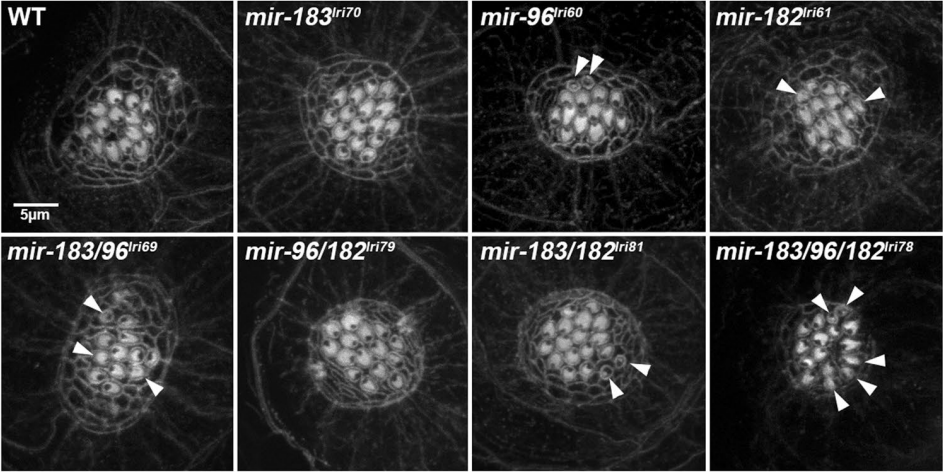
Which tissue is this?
neuromast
